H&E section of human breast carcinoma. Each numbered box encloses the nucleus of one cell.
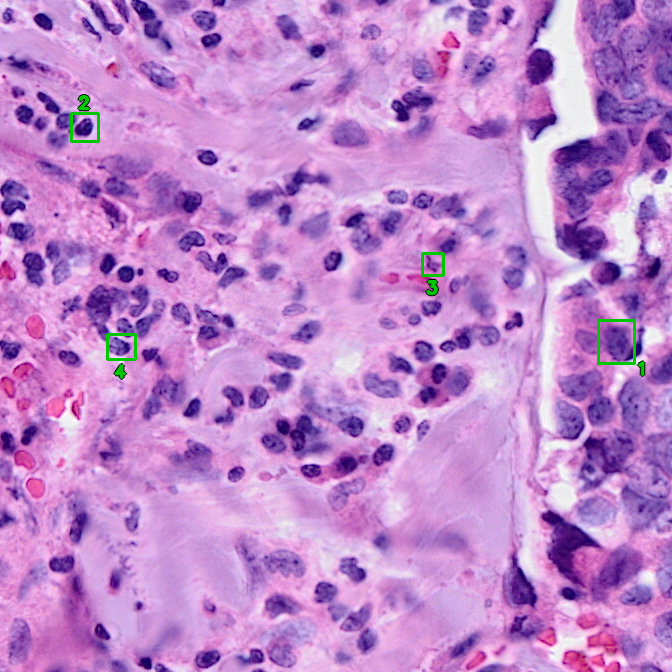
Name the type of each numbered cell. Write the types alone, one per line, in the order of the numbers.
carcinoma cell
lymphocyte
endothelial cell
lymphocyte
